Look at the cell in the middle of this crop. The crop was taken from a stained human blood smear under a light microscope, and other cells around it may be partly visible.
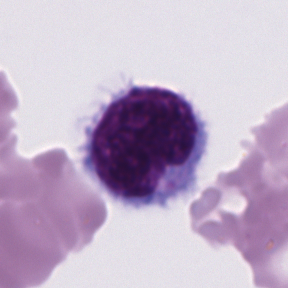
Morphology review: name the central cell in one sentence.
The cell centred in this crop is categorized as a hairy cell.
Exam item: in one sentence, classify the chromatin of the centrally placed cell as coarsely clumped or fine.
Heads up, the chromatin in this one is coarsely clumped.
